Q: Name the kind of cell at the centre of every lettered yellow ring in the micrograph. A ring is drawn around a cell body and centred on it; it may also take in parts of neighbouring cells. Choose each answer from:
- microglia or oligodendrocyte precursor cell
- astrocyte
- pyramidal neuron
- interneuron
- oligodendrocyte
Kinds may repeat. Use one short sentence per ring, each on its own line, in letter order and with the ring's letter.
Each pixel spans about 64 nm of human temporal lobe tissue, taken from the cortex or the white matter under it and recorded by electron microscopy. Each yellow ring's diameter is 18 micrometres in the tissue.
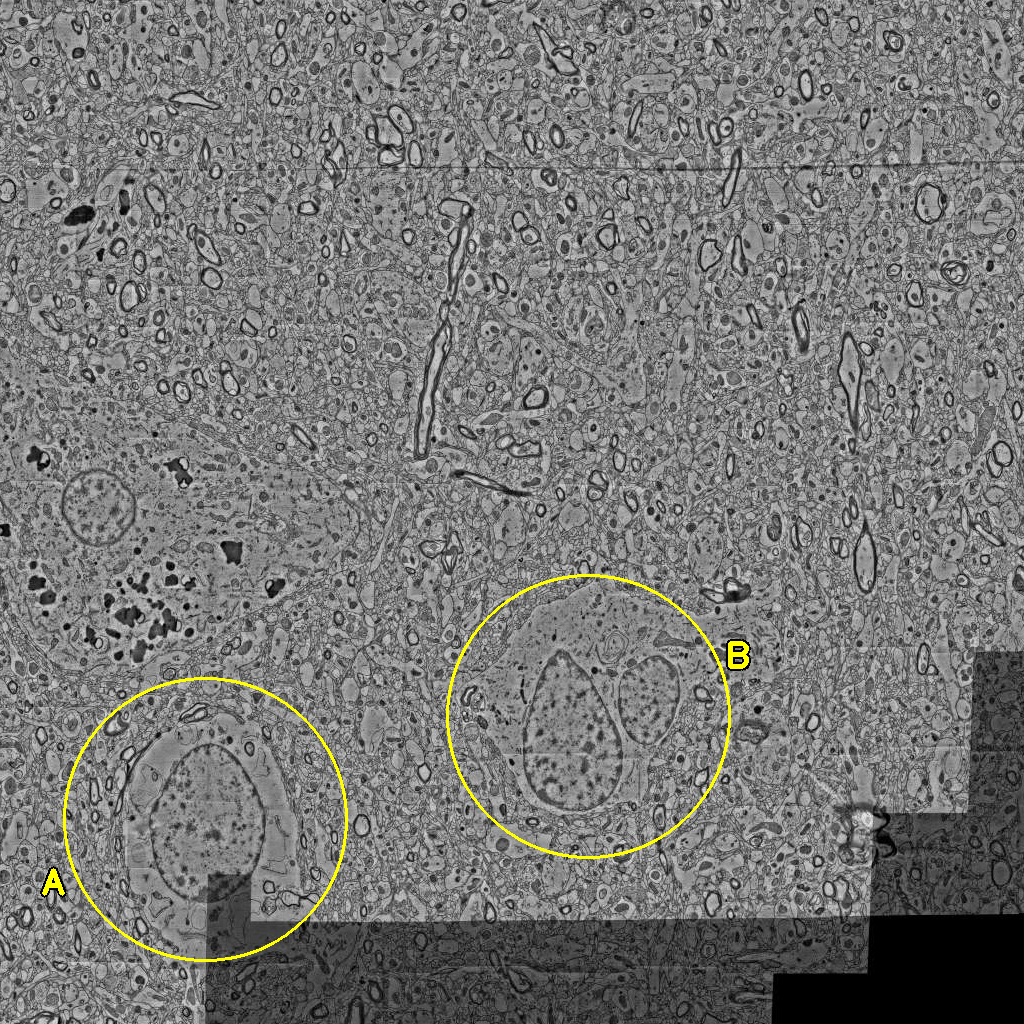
Ring A is placed around an astrocyte.
Ring B is placed around a microglial cell or oligodendrocyte precursor cell.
